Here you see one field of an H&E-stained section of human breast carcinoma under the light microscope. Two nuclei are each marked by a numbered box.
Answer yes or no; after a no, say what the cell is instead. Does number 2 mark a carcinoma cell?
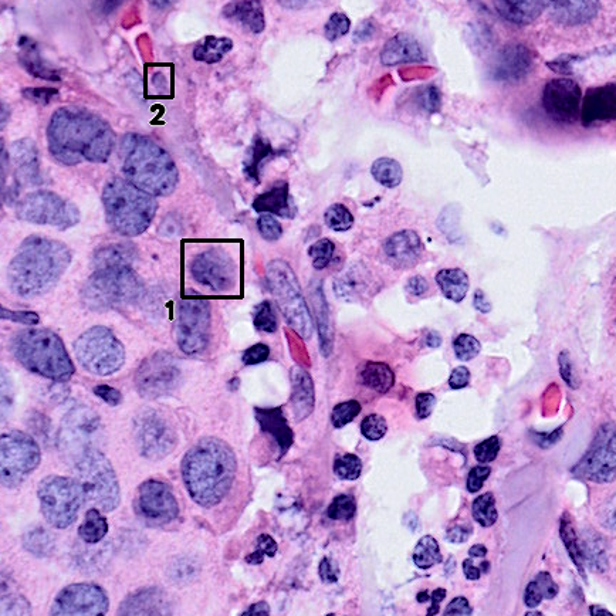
No, it is an endothelial cell.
